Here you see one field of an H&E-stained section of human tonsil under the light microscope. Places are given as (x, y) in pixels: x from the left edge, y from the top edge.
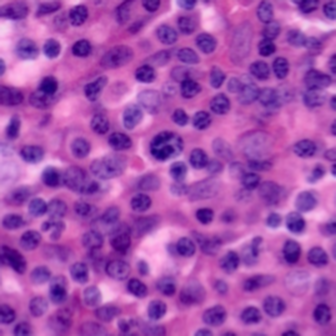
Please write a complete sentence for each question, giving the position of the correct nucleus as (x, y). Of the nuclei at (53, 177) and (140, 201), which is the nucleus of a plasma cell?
Identify the nucleus at (140, 201) as the one belonging to a plasma cell.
